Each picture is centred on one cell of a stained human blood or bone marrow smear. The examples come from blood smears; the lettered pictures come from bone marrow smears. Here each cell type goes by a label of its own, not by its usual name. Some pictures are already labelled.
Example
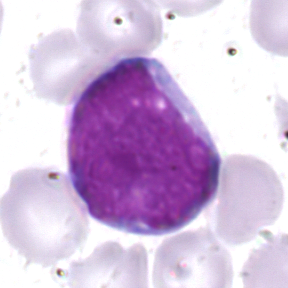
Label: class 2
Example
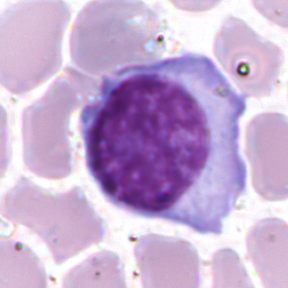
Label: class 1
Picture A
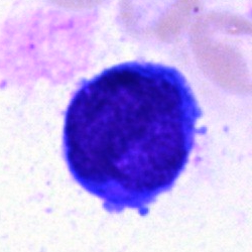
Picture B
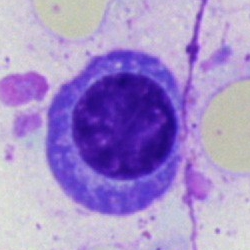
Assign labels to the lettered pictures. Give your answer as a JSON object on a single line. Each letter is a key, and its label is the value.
{"A": "class 2", "B": "class 1"}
